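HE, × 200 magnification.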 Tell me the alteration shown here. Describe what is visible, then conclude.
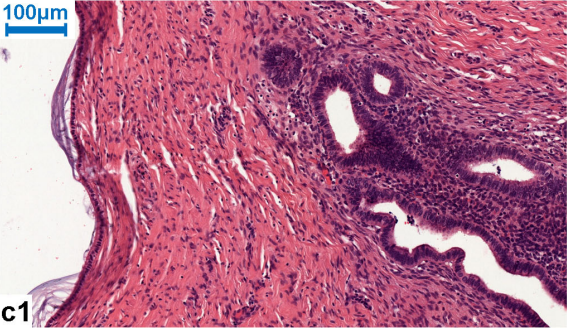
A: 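Glands lined by columnar epithelium set in a dense cellular stroma. The glands and stroma lie within a wall of pink fibromuscular tissue.
Conclusion: endometriosis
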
